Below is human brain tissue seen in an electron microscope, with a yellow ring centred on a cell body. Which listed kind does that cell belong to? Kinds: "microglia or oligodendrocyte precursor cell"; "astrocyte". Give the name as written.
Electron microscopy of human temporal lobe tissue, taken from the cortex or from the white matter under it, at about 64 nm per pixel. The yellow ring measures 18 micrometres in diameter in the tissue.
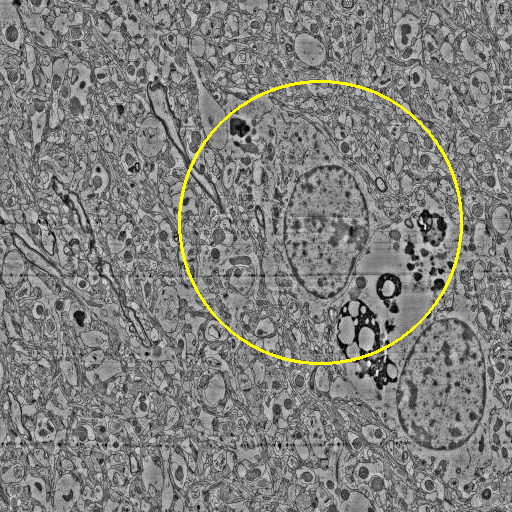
astrocyte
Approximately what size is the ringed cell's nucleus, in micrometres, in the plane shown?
The nucleus comes to approximately 8 by 5 micrometres and is clearly longer than it is wide in this plane.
